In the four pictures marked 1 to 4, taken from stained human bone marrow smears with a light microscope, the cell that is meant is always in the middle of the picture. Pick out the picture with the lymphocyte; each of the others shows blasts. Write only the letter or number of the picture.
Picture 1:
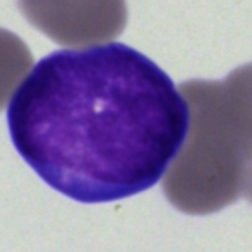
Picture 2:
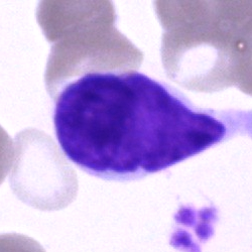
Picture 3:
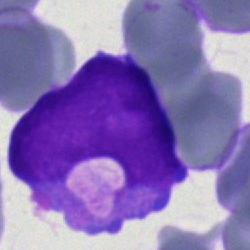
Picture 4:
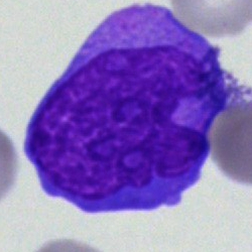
2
